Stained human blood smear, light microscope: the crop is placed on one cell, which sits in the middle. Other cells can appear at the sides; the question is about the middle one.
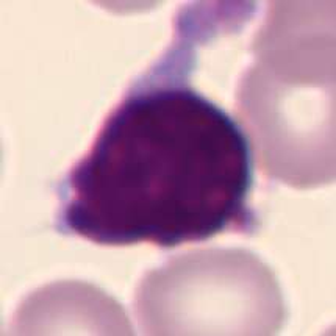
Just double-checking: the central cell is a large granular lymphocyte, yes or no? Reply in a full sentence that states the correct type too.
No, this one is a typical lymphocyte; it is not a large granular lymphocyte.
